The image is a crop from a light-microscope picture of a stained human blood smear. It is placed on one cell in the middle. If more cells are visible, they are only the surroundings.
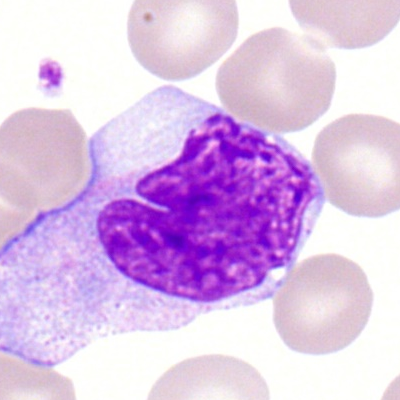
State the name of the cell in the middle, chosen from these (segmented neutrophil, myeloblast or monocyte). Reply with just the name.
monocyte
